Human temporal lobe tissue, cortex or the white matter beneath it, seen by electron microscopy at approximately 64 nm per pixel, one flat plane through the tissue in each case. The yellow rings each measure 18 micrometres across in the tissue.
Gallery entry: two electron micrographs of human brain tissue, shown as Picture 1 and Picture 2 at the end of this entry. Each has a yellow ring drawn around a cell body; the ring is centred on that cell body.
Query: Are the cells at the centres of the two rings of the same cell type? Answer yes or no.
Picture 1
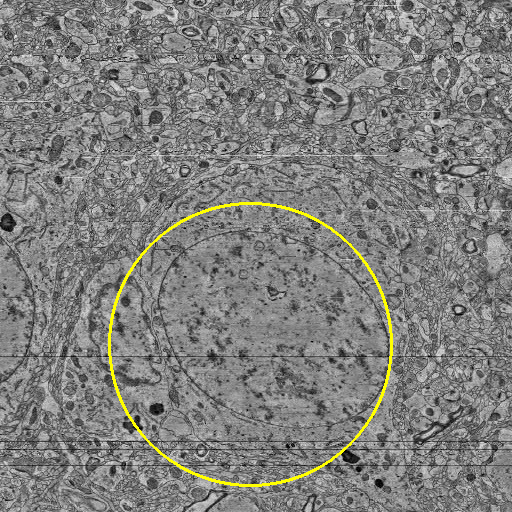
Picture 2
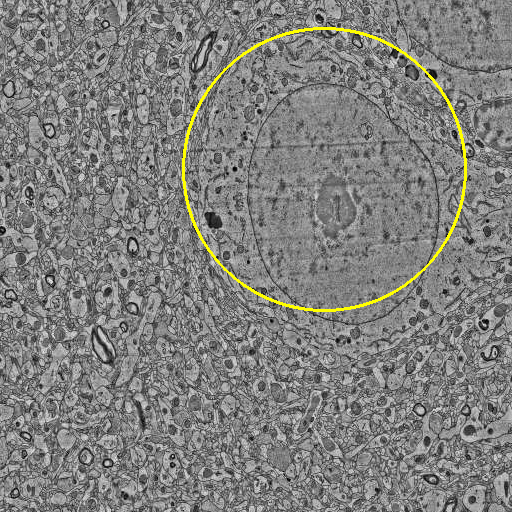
yes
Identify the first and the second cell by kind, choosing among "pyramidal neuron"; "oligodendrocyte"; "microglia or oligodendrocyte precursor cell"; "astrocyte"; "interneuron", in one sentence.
The first and the second cell are each a pyramidal neuron.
